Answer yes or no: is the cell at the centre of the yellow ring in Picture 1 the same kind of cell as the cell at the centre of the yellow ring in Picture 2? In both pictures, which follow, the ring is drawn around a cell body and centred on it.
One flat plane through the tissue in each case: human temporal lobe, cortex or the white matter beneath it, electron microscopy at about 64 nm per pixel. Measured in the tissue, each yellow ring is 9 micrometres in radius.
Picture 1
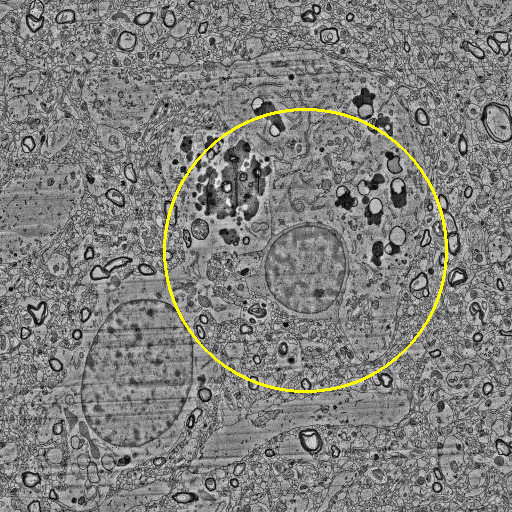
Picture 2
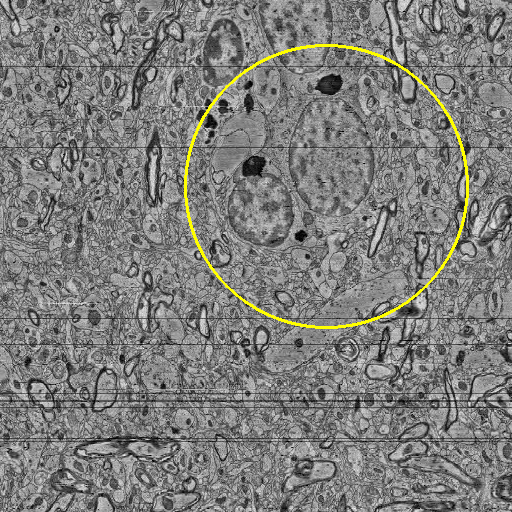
yes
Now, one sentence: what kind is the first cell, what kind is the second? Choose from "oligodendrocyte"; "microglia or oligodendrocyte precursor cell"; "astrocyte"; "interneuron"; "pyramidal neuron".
Each of the ringed cells, first and second, is an oligodendrocyte.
